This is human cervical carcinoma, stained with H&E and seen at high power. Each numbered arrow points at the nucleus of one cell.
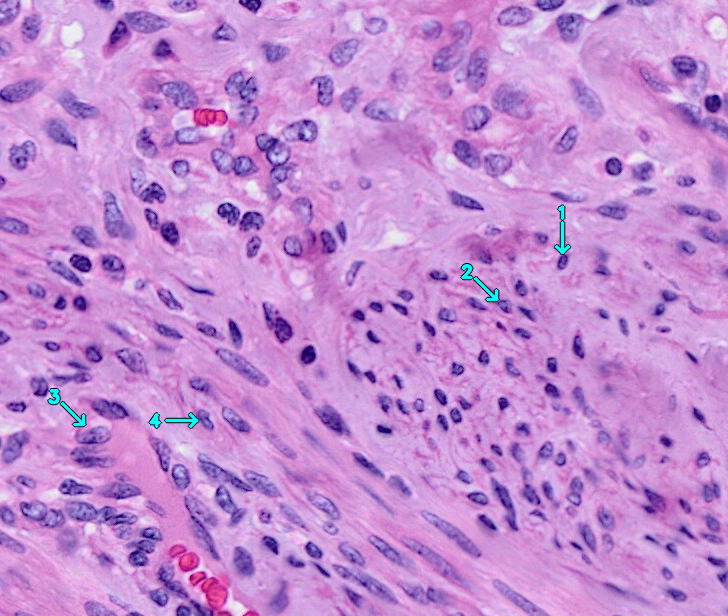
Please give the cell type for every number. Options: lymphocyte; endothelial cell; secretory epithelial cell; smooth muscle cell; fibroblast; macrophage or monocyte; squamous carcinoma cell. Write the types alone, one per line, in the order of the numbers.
smooth muscle cell
smooth muscle cell
endothelial cell
smooth muscle cell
